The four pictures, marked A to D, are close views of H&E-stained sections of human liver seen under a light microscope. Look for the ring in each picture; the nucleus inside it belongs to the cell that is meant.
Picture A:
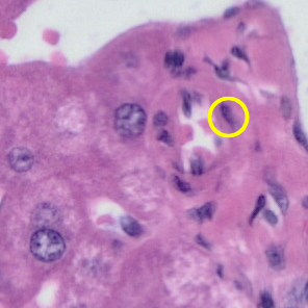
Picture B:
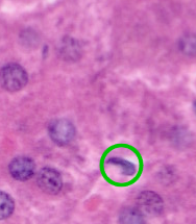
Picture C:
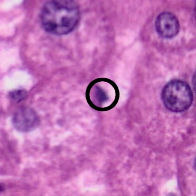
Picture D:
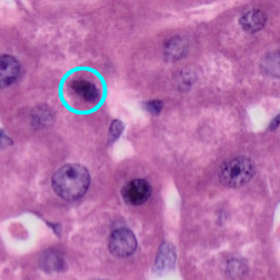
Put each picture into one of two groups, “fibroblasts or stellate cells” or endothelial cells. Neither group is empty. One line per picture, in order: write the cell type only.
fibroblast or stellate cell
endothelial cell
endothelial cell
fibroblast or stellate cell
